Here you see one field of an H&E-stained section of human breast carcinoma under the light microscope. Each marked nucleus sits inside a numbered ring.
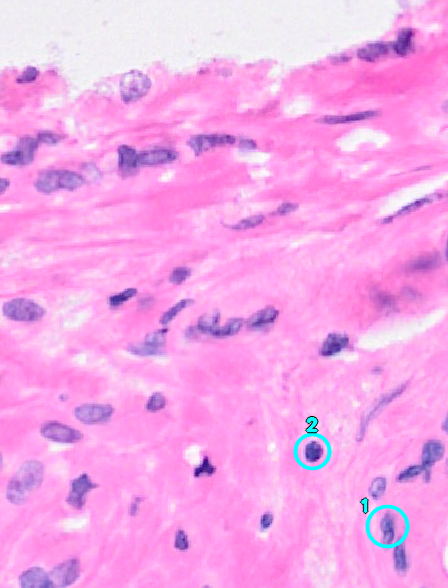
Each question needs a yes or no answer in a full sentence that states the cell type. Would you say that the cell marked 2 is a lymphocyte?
Yes, looking at number 2, that cell is a lymphocyte.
